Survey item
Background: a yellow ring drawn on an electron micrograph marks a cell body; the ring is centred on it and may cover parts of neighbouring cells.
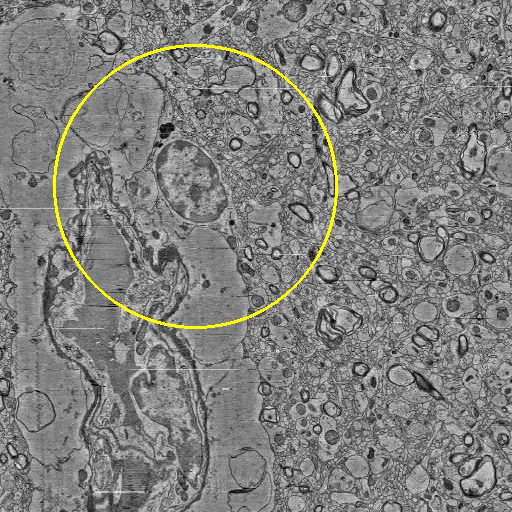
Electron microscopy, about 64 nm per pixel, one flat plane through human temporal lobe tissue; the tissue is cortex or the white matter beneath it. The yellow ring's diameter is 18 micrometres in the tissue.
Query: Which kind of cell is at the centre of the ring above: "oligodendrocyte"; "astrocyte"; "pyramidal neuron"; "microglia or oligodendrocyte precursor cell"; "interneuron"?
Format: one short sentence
The cell in the middle of the ring is a microglial cell or oligodendrocyte precursor cell.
